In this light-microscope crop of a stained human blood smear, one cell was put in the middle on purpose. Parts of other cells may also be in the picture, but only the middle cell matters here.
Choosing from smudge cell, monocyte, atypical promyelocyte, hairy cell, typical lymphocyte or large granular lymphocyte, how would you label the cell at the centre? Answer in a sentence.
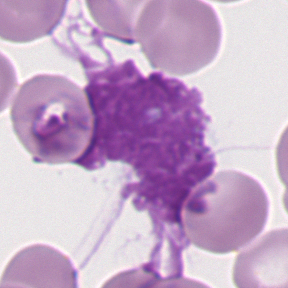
The middle cell in this particular crop is a smudge cell.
